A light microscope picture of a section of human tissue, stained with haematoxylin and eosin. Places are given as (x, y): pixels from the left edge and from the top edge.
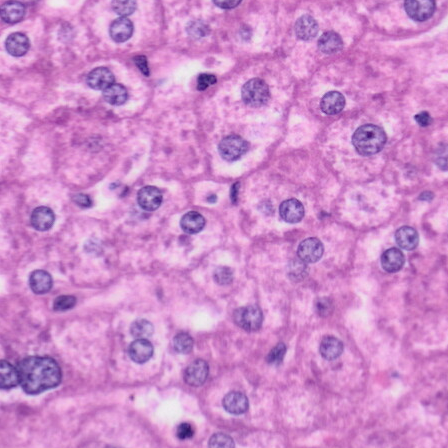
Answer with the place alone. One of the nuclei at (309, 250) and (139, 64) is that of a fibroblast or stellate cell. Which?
(139, 64)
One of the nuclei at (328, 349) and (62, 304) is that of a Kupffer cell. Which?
(62, 304)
